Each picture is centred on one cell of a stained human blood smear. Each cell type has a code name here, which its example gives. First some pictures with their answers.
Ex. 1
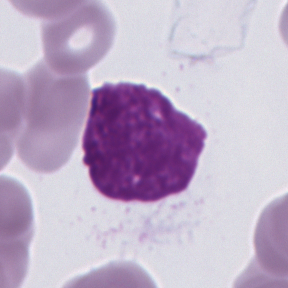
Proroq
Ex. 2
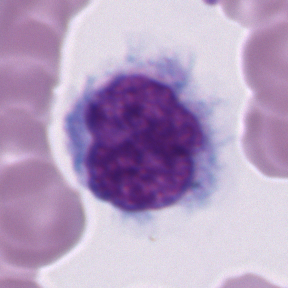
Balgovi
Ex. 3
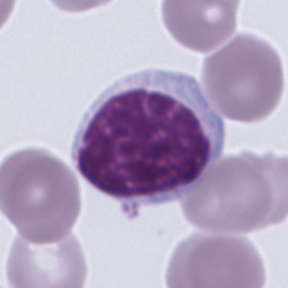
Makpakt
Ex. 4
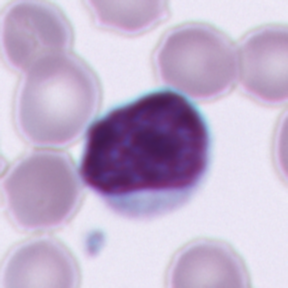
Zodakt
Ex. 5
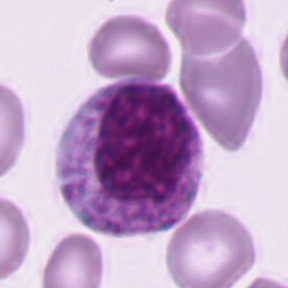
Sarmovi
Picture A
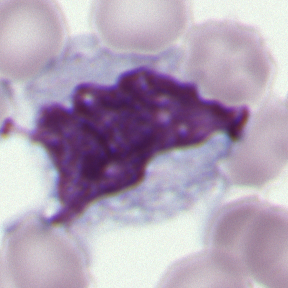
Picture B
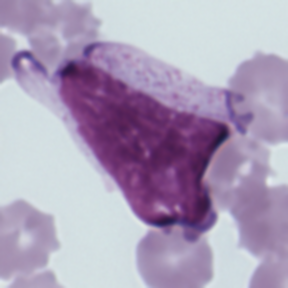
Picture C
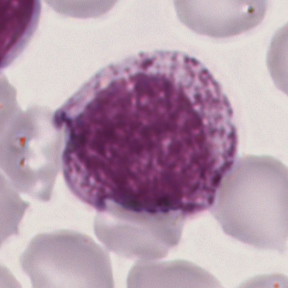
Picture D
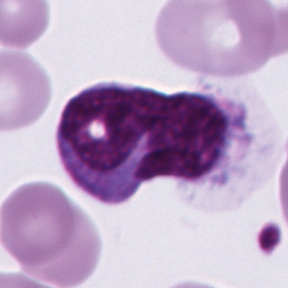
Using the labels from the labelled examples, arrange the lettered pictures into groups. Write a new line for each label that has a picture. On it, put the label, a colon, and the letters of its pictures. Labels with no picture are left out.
Balgovi: A, D
Sarmovi: B, C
